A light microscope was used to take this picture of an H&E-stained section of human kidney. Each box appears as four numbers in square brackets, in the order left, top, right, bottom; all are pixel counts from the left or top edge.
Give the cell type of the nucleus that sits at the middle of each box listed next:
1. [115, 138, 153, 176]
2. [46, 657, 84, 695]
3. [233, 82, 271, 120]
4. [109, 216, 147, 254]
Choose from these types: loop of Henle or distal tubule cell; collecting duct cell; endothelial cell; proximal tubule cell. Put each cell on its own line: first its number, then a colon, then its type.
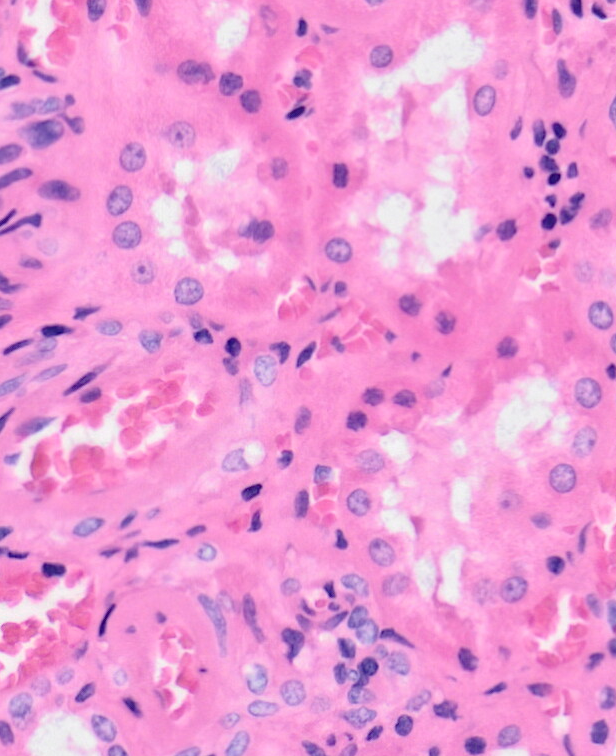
1: proximal tubule cell
2: collecting duct cell
3: proximal tubule cell
4: proximal tubule cell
